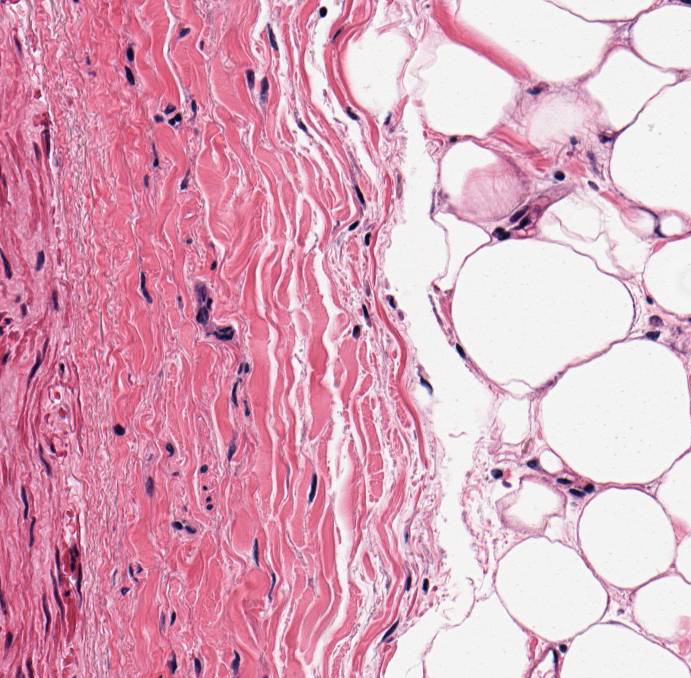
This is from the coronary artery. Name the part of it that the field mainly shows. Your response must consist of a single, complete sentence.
The subject of this tissue section is the part called tunica adventitia.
